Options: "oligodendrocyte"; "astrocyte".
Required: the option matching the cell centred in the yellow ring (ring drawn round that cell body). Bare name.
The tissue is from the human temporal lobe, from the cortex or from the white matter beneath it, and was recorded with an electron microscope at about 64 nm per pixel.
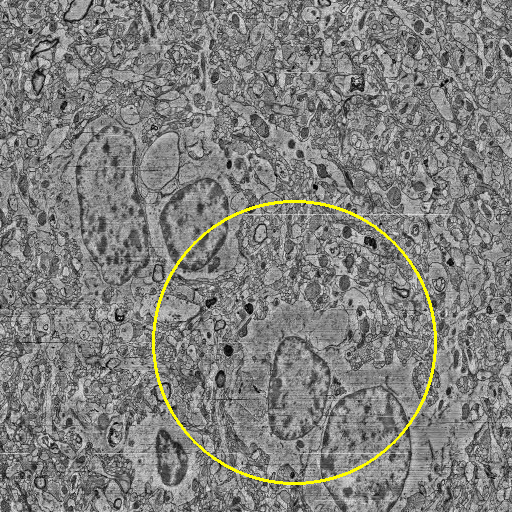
astrocyte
